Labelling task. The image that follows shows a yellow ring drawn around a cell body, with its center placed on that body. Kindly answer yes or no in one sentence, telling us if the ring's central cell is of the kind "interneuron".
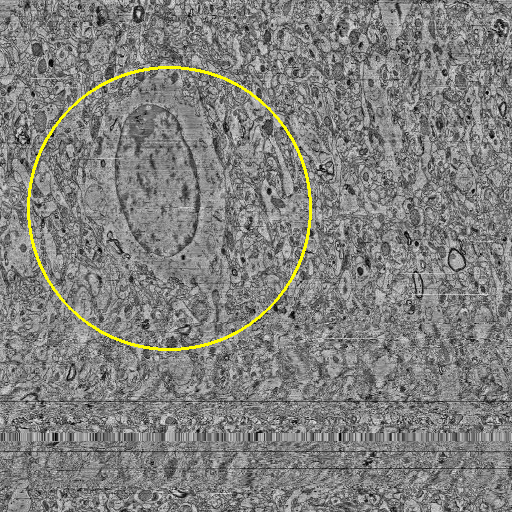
No, in this image the cell at the ring's center is of a different kind.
